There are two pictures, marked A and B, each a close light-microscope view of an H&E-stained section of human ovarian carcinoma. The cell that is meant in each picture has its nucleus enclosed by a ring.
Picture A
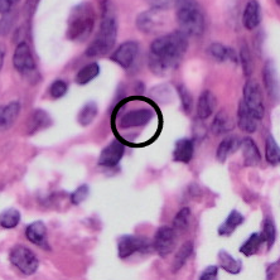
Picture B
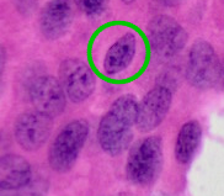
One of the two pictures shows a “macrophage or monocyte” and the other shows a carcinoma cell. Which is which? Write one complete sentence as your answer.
Picture A shows a carcinoma cell and picture B shows a “macrophage or monocyte”.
